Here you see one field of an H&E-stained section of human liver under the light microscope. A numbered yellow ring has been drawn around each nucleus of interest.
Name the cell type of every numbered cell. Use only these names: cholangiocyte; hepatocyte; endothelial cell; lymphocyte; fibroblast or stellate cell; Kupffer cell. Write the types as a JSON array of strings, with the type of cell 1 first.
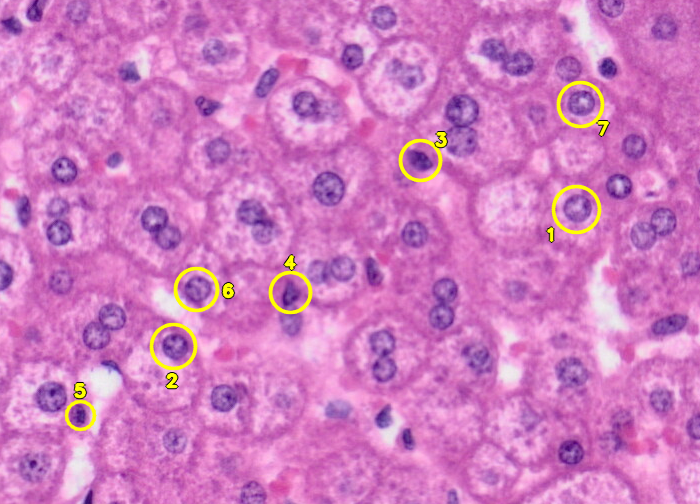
["hepatocyte", "hepatocyte", "fibroblast or stellate cell", "fibroblast or stellate cell", "Kupffer cell", "hepatocyte", "hepatocyte"]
